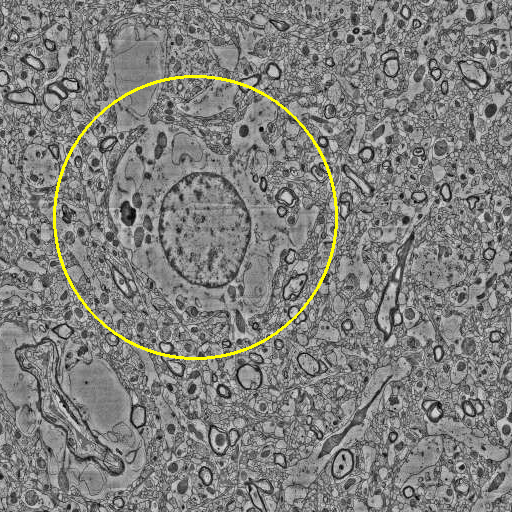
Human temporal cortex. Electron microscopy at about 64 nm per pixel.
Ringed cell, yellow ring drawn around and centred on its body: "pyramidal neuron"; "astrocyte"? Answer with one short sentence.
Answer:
This ringed cell is an astrocyte.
